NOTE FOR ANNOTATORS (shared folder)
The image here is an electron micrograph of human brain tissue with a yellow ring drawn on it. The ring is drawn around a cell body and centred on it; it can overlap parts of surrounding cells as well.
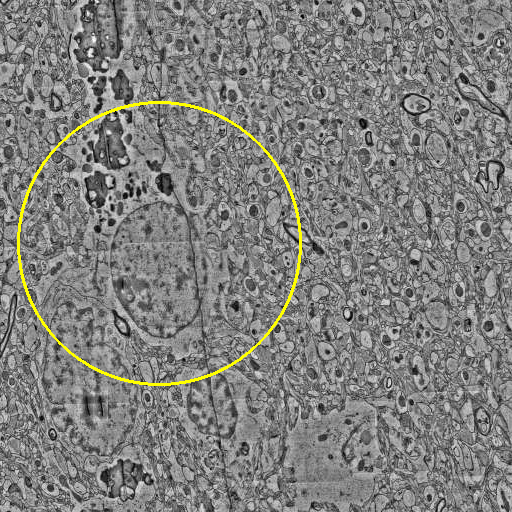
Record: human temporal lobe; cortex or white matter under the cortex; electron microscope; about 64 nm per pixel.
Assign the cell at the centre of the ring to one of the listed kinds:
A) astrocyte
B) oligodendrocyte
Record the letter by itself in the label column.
A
